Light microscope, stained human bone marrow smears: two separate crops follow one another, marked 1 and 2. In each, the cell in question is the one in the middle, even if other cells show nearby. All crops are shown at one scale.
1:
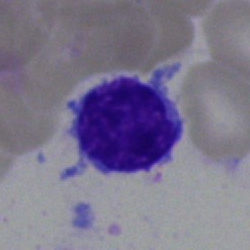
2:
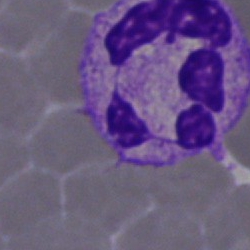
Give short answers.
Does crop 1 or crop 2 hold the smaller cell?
2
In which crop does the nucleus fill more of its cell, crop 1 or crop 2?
1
